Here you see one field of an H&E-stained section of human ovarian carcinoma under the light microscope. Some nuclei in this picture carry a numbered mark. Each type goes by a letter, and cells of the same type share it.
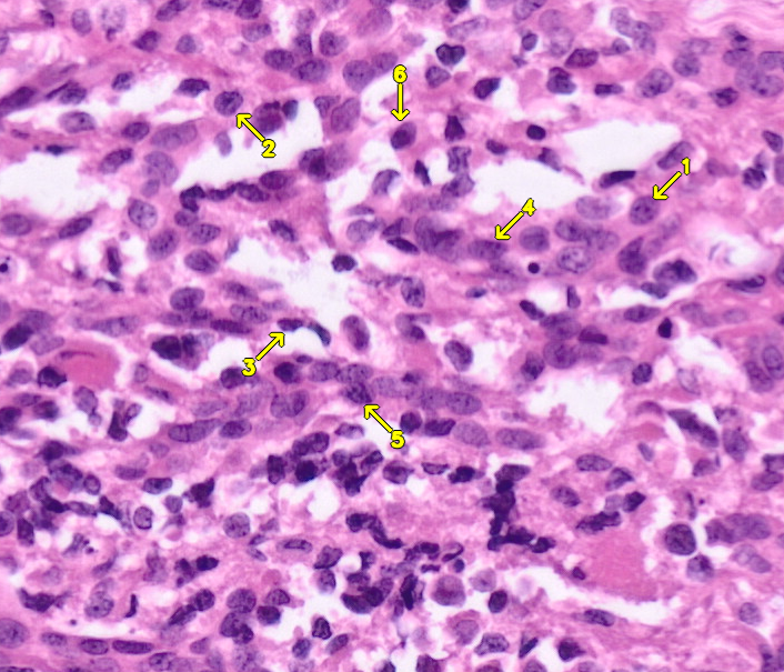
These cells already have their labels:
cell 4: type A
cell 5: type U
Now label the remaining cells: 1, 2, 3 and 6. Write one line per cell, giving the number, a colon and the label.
1: type A
2: type U
3: type A
6: type A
